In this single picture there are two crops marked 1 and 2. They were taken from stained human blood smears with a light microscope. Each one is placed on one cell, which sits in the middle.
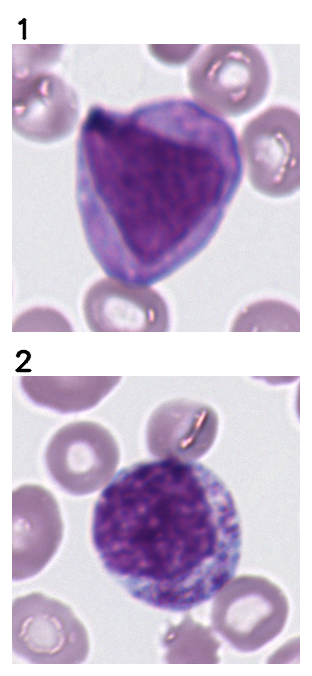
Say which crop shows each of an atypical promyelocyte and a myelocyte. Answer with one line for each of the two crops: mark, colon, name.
1: atypical promyelocyte
2: myelocyte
